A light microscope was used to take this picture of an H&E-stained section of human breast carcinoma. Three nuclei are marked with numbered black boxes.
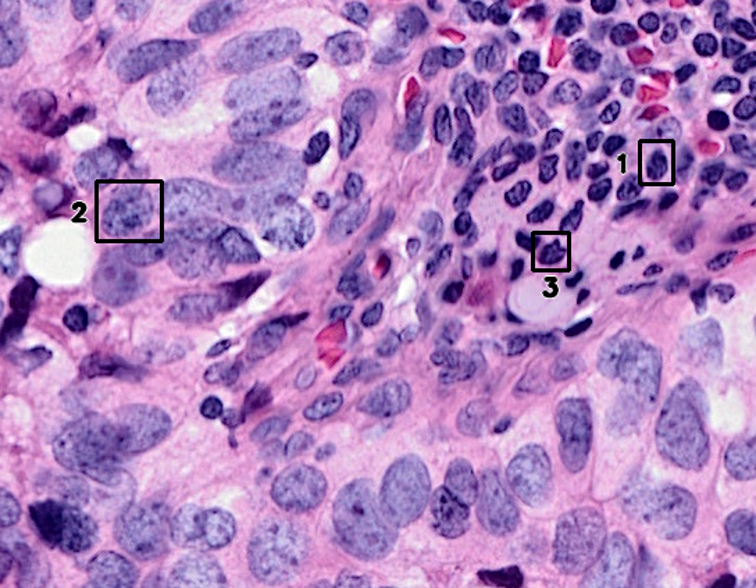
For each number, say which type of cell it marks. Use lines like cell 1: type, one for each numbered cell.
cell 1: lymphocyte
cell 2: carcinoma cell
cell 3: lymphocyte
